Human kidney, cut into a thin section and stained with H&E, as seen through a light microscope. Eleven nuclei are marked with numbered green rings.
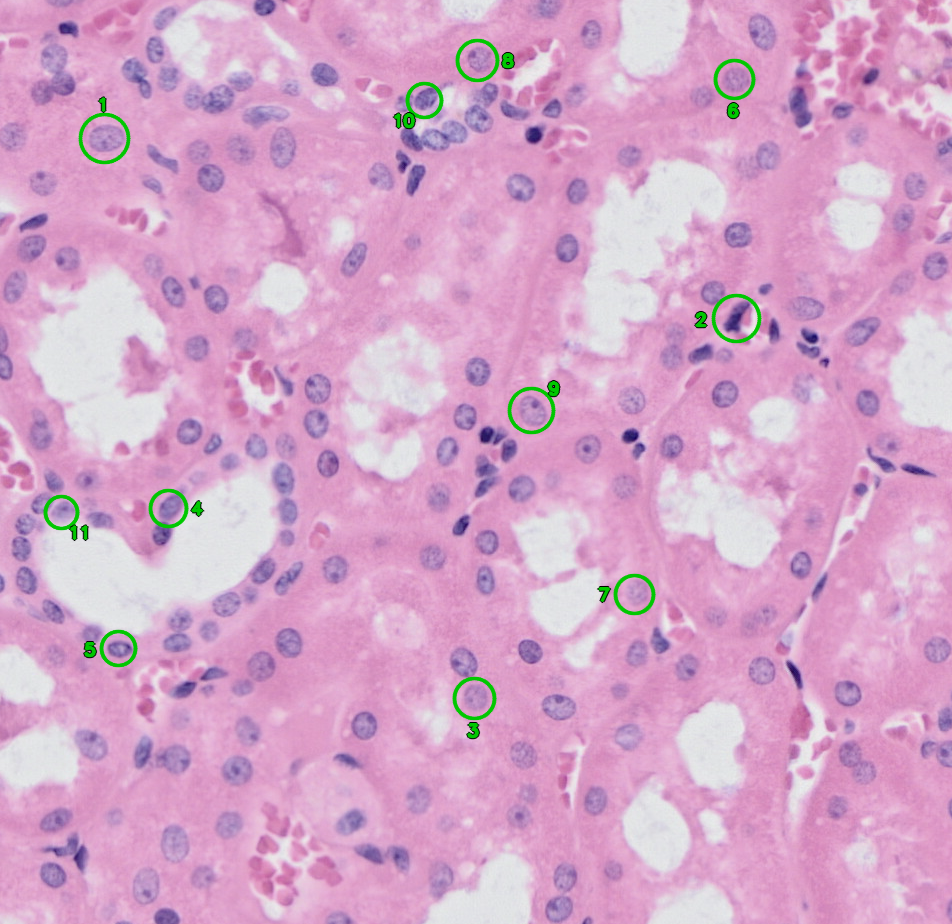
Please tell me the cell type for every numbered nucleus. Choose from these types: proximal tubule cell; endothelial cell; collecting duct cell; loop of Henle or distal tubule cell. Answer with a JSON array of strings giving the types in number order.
["proximal tubule cell", "endothelial cell", "proximal tubule cell", "collecting duct cell", "collecting duct cell", "proximal tubule cell", "proximal tubule cell", "proximal tubule cell", "proximal tubule cell", "collecting duct cell", "collecting duct cell"]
